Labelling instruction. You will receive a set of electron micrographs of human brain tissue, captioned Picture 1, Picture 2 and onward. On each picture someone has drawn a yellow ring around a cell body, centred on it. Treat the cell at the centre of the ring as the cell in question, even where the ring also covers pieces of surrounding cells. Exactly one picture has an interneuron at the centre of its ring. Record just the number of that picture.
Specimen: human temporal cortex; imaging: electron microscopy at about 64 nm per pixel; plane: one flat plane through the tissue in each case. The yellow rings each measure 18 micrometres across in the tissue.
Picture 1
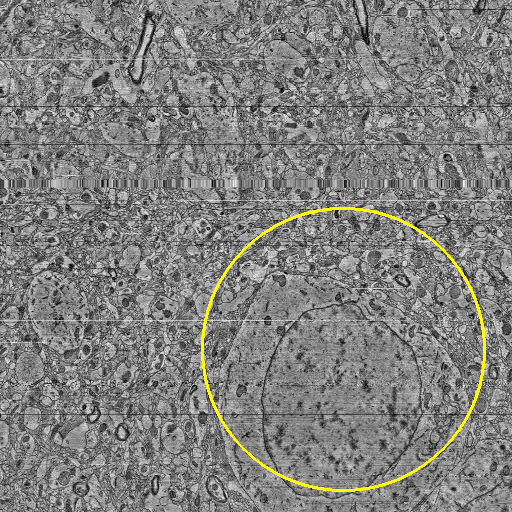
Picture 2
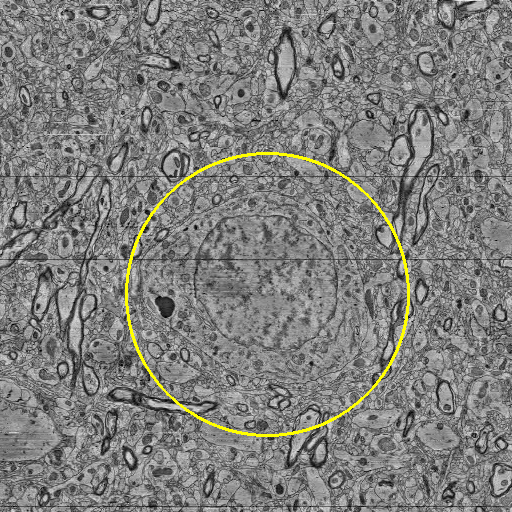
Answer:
2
